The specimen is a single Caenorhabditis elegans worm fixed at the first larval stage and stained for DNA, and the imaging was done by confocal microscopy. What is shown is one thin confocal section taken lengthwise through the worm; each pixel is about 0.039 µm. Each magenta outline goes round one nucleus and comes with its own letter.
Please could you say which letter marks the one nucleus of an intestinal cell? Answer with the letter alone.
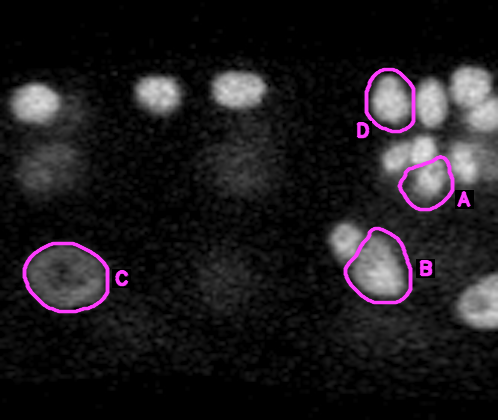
C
